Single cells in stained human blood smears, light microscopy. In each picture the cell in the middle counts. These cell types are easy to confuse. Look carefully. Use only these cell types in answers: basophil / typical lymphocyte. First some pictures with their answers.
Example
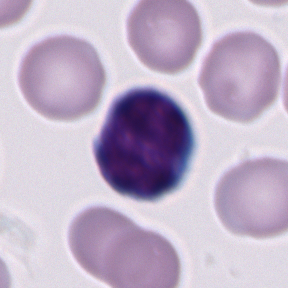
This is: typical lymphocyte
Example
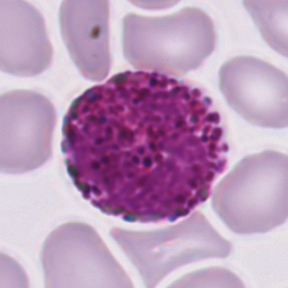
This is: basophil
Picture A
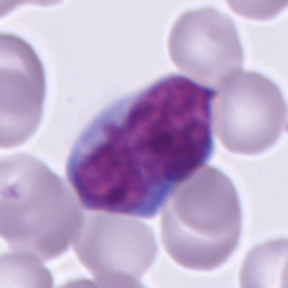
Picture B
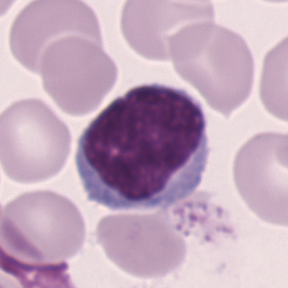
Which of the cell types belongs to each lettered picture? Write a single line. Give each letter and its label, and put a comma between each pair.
A typical lymphocyte, B typical lymphocyte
